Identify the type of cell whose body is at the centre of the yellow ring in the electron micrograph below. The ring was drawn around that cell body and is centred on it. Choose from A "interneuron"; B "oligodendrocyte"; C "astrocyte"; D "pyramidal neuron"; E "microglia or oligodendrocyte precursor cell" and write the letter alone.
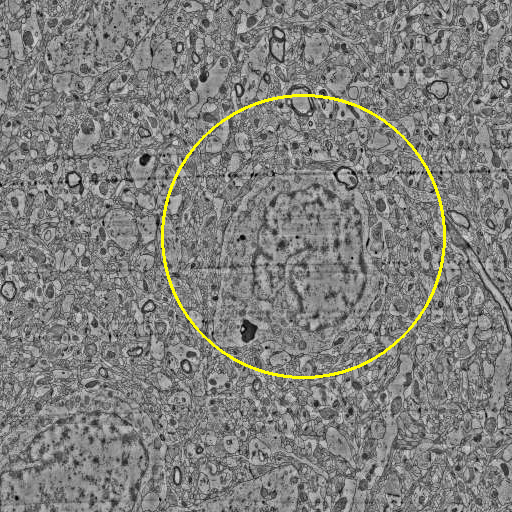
A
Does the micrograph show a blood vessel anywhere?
No, a blood vessel is absent from this picture.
